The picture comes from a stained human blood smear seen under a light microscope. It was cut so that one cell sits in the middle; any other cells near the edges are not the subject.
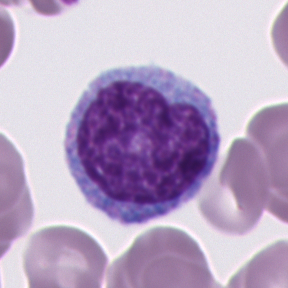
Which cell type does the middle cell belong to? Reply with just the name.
monocyte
